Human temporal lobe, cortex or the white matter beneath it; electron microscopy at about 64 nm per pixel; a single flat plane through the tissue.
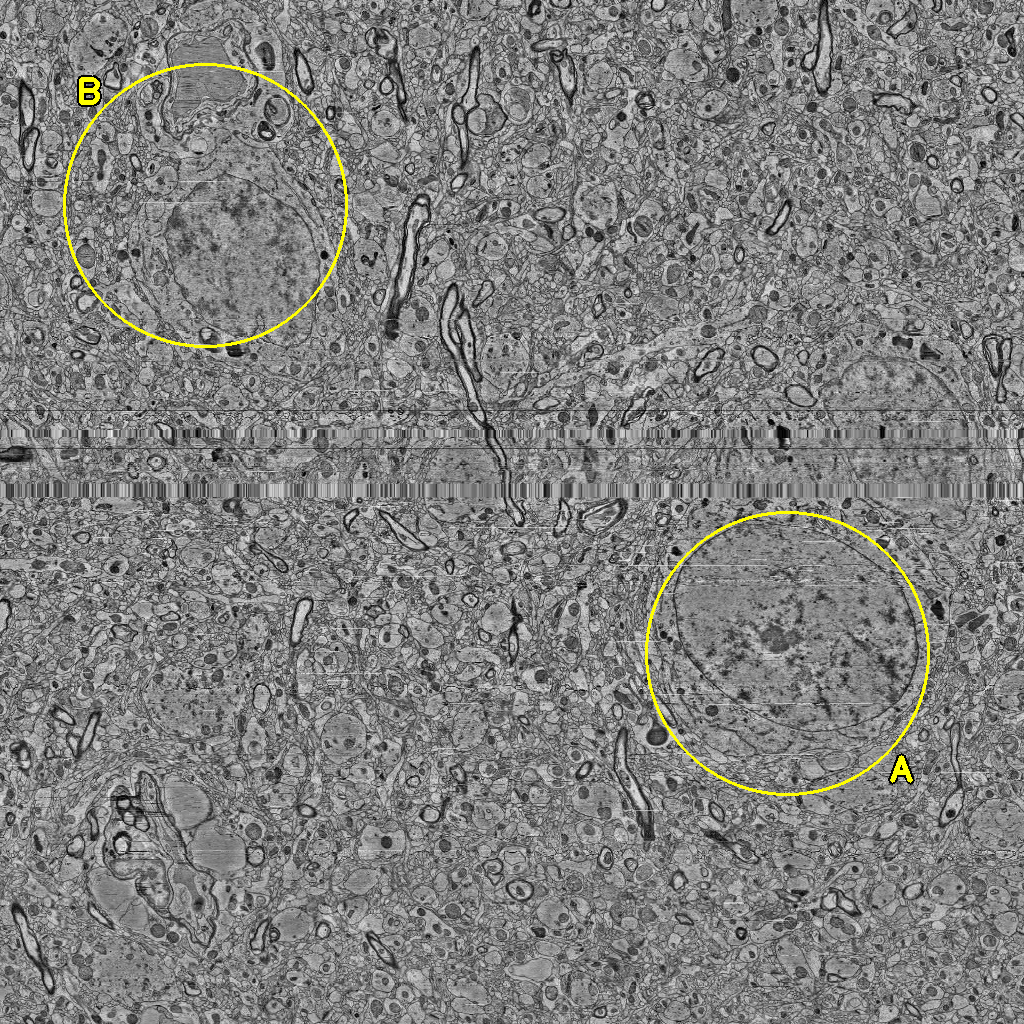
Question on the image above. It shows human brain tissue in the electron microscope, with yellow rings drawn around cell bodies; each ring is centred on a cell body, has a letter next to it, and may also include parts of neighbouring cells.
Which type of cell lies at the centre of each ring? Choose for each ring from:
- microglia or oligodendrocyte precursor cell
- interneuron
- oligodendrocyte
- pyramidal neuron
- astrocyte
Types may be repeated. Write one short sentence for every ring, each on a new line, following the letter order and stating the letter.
Ring A has been drawn around a pyramidal neuron.
Ring B has been drawn around an interneuron.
